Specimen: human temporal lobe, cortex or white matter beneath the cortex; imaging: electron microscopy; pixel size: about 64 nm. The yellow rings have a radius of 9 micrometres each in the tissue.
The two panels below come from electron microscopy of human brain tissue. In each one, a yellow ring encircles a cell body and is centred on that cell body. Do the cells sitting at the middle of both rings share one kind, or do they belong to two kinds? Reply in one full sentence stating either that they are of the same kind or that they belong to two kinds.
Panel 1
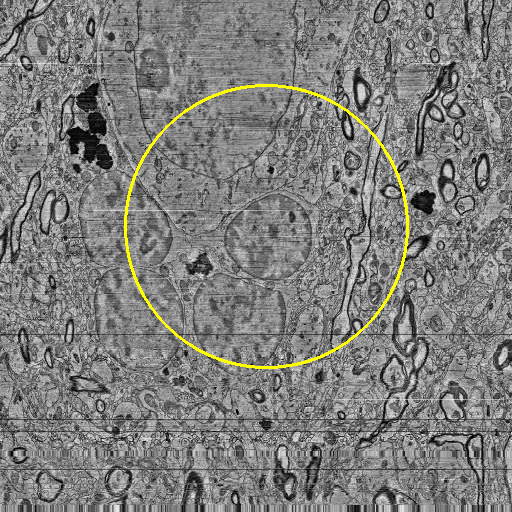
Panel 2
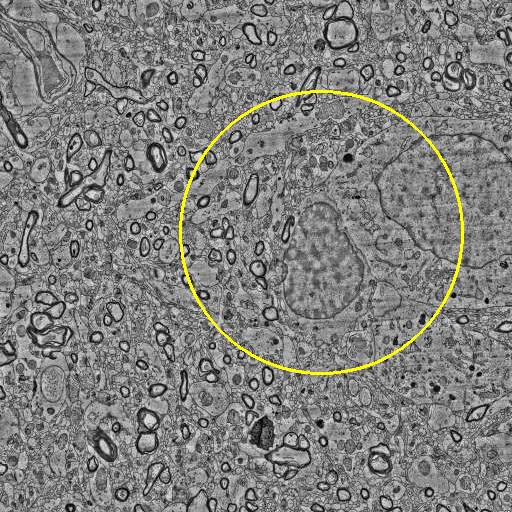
The cells at the centres of the two rings are of the same kind.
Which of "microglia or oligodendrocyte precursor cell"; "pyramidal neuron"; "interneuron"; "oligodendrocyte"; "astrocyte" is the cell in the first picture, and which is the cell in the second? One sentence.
The second cell is an oligodendrocyte, just as the first is.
